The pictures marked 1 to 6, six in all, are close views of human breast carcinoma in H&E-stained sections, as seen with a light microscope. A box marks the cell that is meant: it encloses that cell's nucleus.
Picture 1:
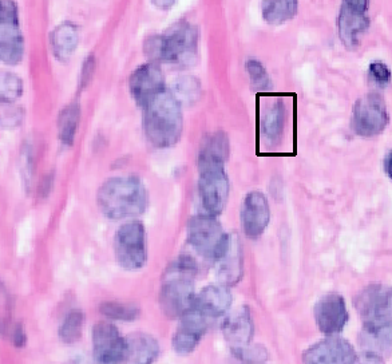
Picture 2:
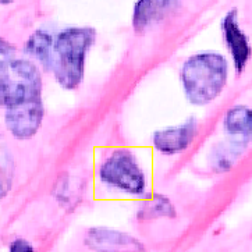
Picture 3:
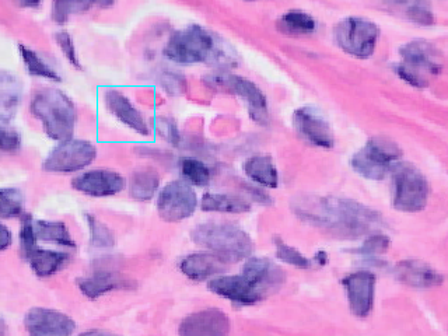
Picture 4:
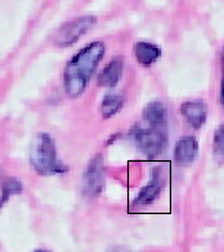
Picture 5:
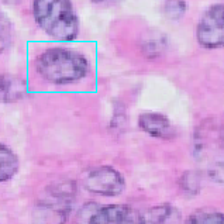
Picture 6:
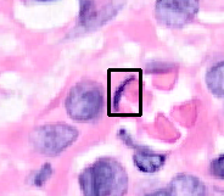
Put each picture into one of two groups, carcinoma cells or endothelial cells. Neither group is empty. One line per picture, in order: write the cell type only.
endothelial cell
carcinoma cell
endothelial cell
endothelial cell
carcinoma cell
endothelial cell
